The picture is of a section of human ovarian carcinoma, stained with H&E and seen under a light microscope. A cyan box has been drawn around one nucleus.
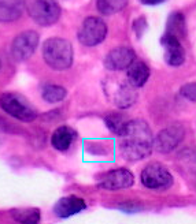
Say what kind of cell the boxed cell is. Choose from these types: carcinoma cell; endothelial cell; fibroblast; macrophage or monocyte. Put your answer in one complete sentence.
The expected answer is simply that the boxed cell is a macrophage or monocyte.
